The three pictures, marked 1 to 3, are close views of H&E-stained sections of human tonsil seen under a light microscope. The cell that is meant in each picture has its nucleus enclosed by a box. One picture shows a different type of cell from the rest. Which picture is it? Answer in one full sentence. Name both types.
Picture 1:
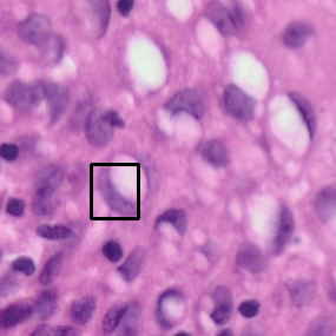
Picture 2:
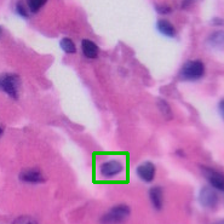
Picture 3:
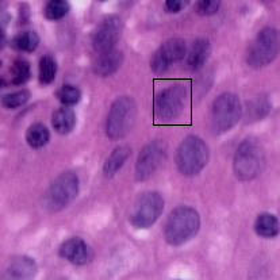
All pictures except 2 show squamous epithelial cells; picture 2 shows a mast cell.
